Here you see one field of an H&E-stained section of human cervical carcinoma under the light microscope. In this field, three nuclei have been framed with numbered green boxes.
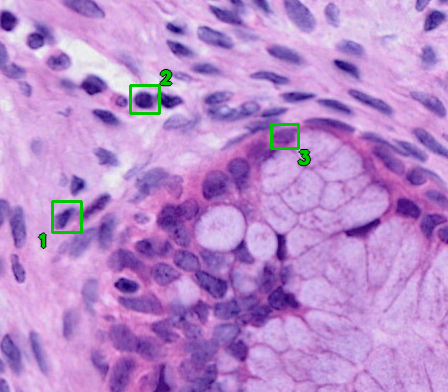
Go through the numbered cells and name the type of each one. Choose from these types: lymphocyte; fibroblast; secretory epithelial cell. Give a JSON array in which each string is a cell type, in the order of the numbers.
["fibroblast", "lymphocyte", "secretory epithelial cell"]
